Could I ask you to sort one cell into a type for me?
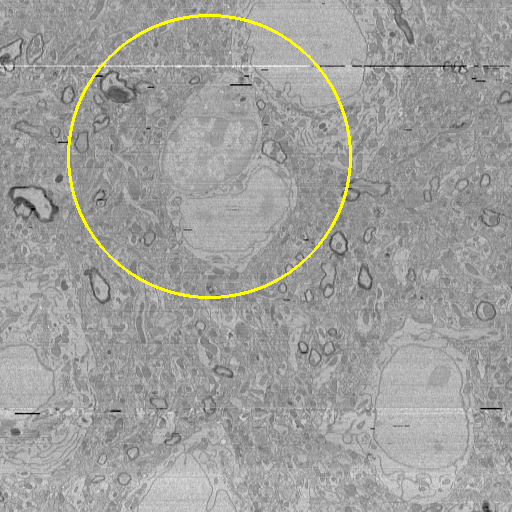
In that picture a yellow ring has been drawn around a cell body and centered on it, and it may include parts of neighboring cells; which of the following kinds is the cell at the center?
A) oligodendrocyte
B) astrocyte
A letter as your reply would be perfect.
A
